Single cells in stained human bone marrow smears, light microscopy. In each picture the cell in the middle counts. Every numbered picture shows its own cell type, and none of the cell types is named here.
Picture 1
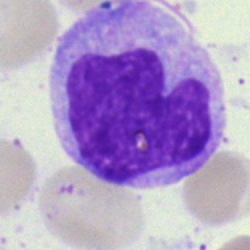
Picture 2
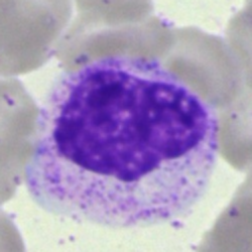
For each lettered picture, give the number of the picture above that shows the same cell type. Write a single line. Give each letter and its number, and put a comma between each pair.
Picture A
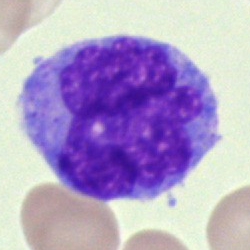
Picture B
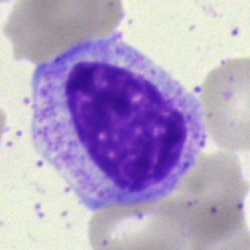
A 1, B 2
